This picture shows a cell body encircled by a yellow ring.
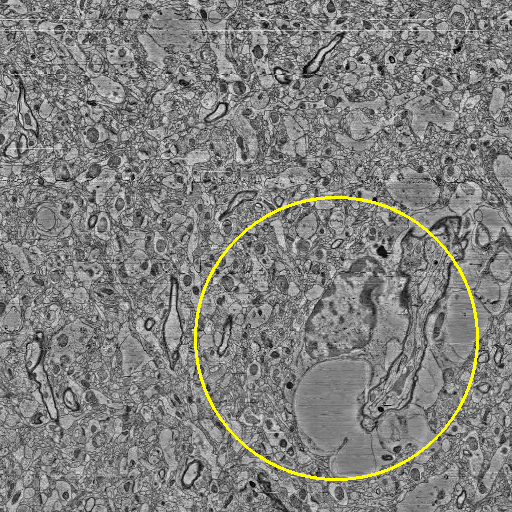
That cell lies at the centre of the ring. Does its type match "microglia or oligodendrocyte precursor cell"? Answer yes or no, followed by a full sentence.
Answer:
Yes, in the picture, the ring surrounds a cell of that type at its centre.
